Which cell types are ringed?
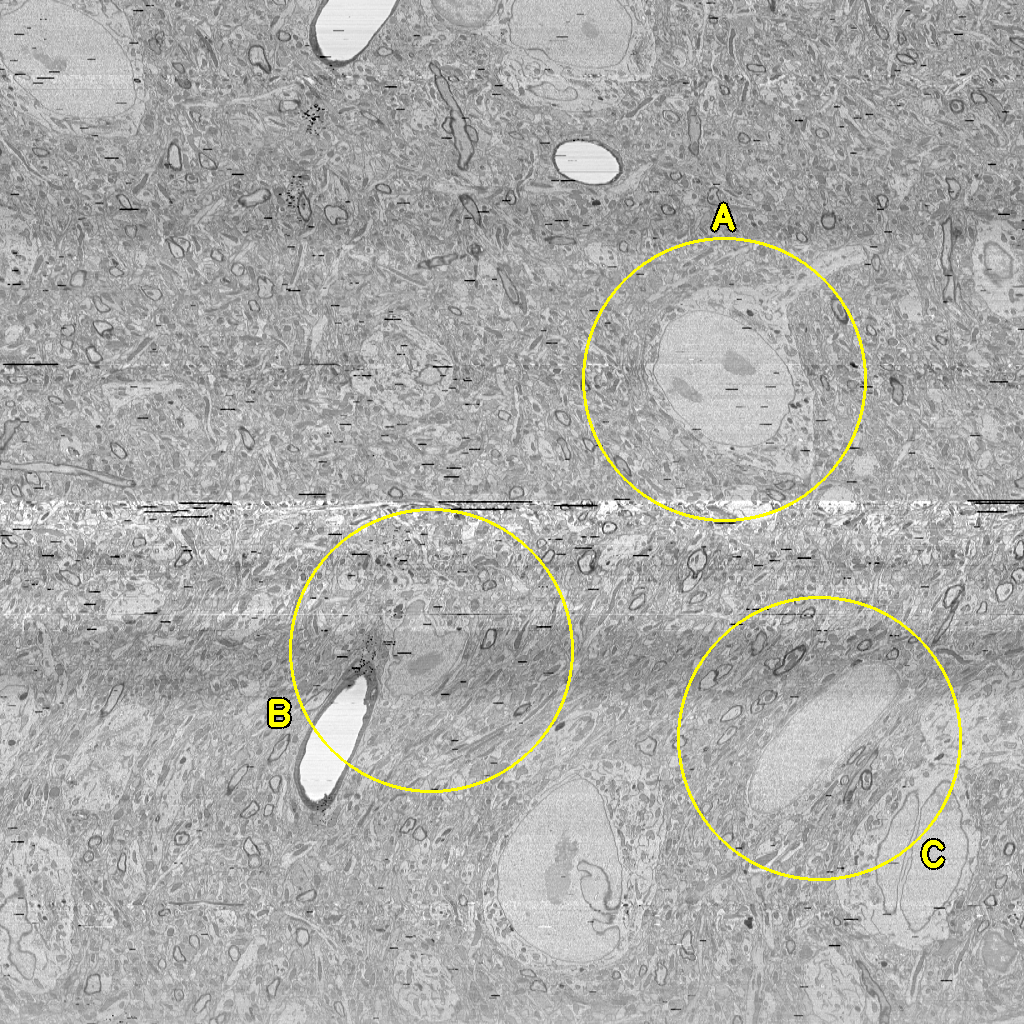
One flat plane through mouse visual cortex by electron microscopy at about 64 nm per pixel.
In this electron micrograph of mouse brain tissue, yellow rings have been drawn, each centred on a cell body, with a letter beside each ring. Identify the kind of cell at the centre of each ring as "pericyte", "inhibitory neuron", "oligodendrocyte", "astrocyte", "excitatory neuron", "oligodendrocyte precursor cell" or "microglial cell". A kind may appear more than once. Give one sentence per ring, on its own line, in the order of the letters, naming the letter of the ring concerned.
Ring A is drawn on an excitatory neuron.
Ring B is drawn on an oligodendrocyte precursor cell.
Ring C is drawn on an astrocyte.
